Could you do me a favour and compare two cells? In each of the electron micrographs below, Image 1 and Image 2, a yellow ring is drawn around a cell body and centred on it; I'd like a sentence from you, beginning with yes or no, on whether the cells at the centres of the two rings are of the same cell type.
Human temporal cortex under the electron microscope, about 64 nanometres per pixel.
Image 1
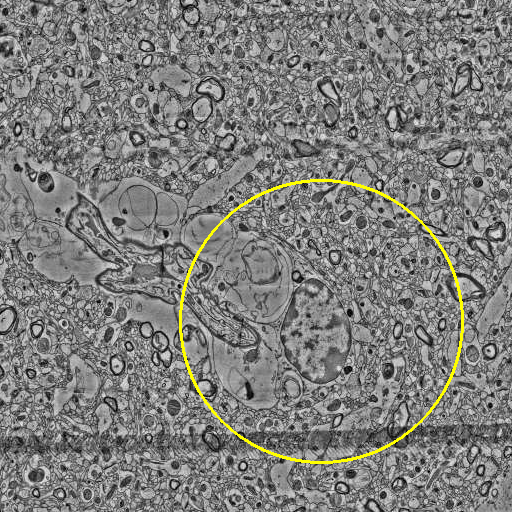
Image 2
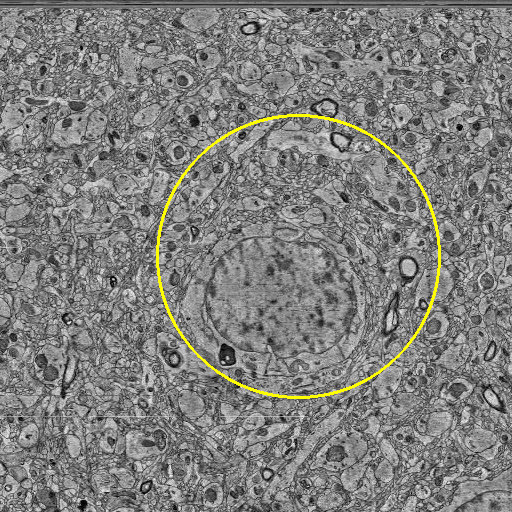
No, the two cells are of two cell types.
